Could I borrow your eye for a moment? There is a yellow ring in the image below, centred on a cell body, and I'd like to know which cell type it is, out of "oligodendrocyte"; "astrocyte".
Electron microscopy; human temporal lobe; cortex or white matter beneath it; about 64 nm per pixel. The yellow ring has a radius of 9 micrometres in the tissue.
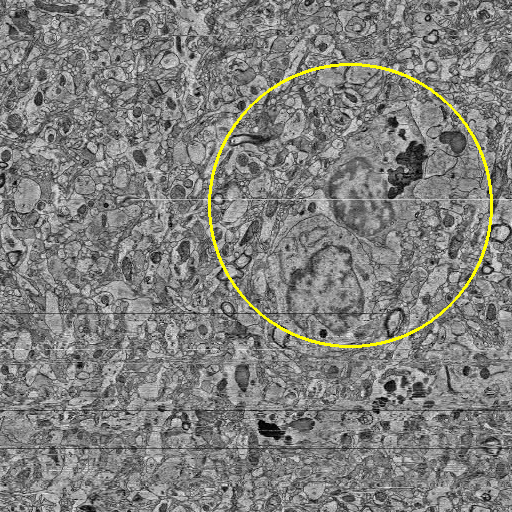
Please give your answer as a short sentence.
The cell body at the centre is that of an oligodendrocyte.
